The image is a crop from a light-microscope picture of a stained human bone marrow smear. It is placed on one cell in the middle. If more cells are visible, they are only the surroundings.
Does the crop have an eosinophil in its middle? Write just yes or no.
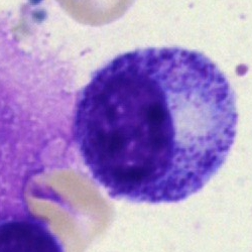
no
